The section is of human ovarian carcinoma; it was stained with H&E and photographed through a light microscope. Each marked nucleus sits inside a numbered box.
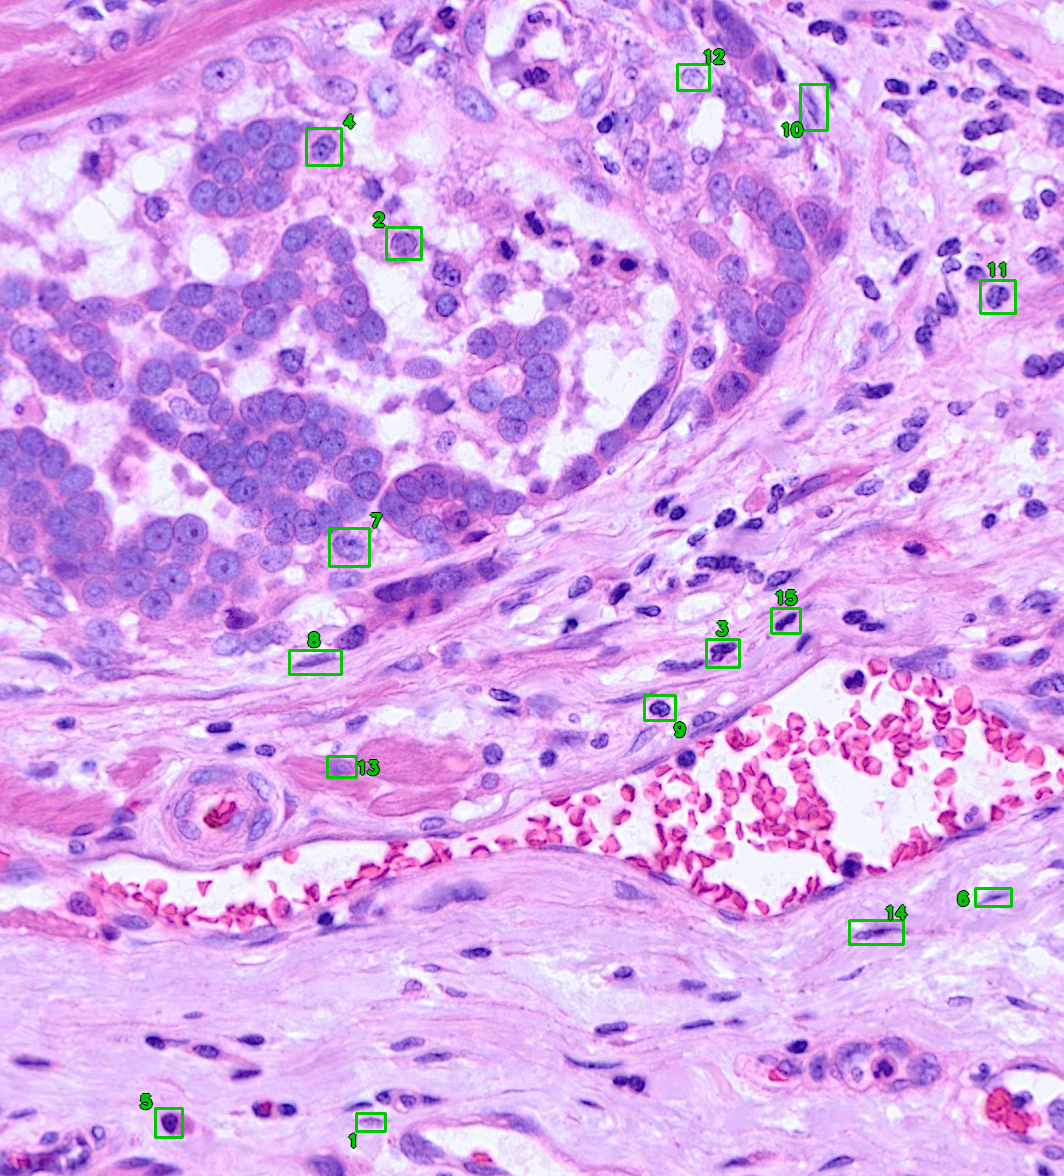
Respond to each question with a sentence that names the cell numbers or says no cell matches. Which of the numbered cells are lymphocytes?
Within the section, cells numbered 3, 5, 9, 11 and 15 are lymphocytes.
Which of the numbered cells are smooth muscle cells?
Cell 13 alone, of all the numbered cells, is a smooth muscle cell.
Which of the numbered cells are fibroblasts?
The cells marked 1, 6, 8, 10 and 14 in the section are fibroblasts.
